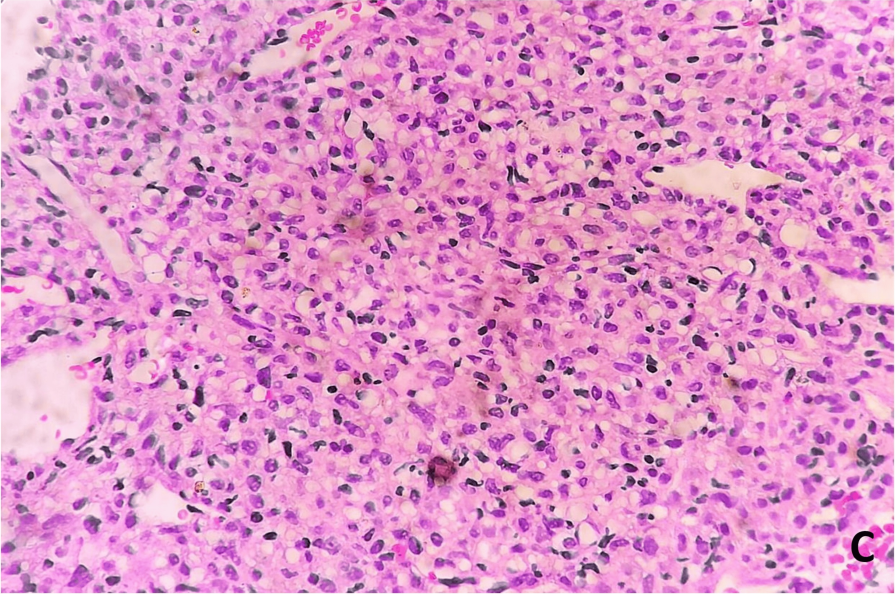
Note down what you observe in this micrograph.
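Densely cellular tumour made of closely packed cells with oval to elongated nuclei. The cytoplasm is scant, pale pink and poorly demarcated, giving a faintly clear, vacuolated background between nuclei. Nuclei vary moderately in size and darkness, some pale with open chromatin and others small and dark. Thin-walled spaces containing a few red blood cells lie at the margins among the cells.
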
